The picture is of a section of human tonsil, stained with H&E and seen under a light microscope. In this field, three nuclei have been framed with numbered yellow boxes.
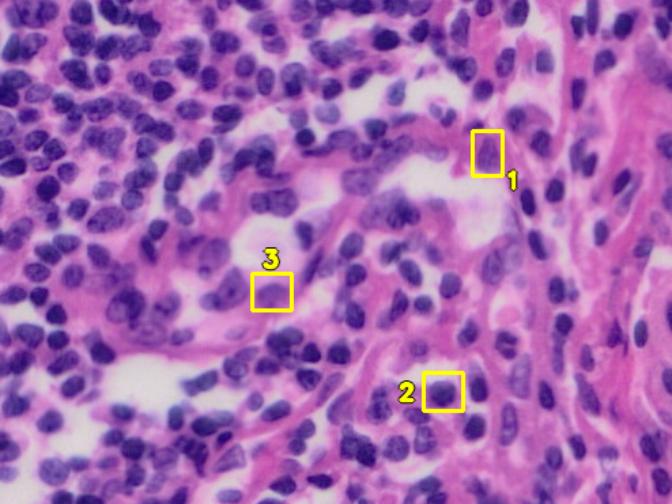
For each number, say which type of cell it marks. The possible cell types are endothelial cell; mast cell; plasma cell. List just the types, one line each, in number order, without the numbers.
endothelial cell
plasma cell
endothelial cell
